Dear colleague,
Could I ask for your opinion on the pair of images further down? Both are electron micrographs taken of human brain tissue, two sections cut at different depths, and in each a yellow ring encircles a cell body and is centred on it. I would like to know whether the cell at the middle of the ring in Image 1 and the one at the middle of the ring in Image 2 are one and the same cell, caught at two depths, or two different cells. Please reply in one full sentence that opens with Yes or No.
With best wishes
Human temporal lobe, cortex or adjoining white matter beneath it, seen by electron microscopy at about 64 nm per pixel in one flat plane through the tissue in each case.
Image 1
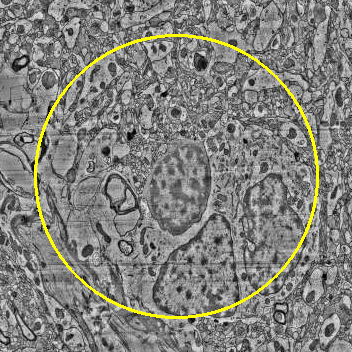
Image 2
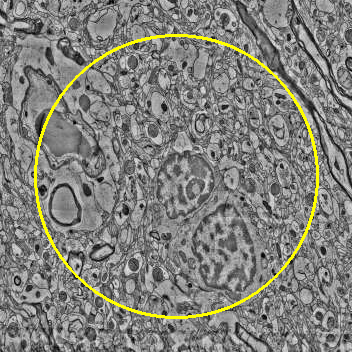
No, the rings do not mark the same cell.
